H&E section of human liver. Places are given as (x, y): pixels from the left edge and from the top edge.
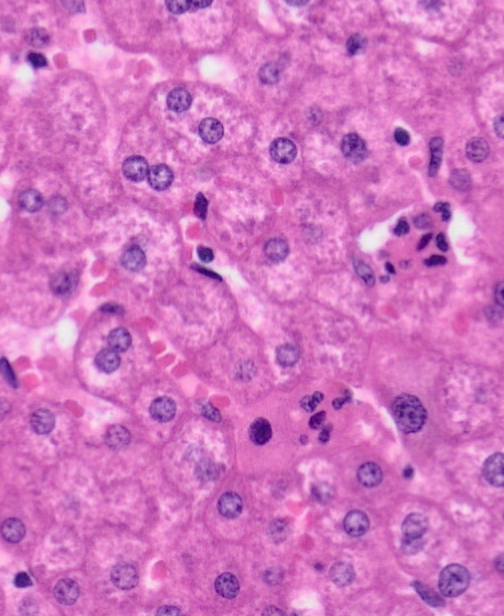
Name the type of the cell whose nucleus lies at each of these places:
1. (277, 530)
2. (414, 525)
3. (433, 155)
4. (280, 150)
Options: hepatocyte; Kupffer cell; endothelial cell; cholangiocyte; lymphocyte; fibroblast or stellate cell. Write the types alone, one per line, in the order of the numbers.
hepatocyte
hepatocyte
Kupffer cell
hepatocyte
